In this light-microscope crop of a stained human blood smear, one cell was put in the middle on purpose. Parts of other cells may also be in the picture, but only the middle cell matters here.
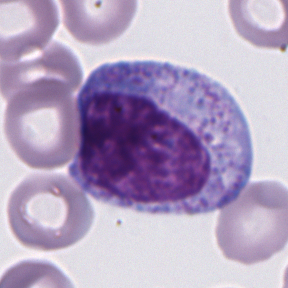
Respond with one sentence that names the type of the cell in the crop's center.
The cell centered in this field of view is a promyelocyte.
